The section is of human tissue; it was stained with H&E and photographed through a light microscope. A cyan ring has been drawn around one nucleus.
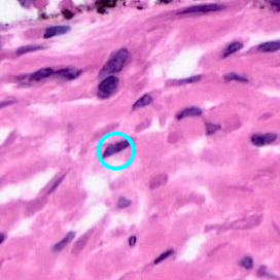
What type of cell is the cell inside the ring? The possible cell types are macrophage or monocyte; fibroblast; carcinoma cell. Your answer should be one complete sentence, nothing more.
As for its identity, the cell inside the ring is a fibroblast.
